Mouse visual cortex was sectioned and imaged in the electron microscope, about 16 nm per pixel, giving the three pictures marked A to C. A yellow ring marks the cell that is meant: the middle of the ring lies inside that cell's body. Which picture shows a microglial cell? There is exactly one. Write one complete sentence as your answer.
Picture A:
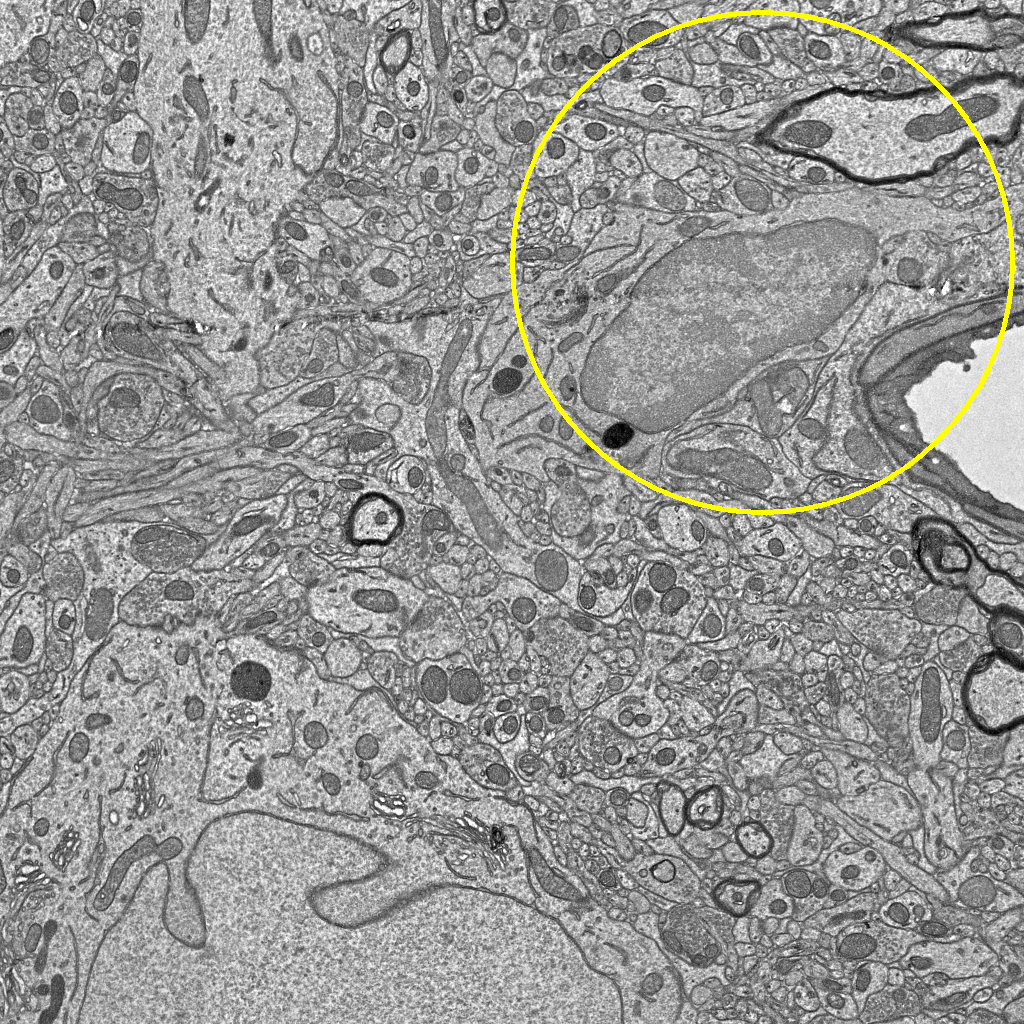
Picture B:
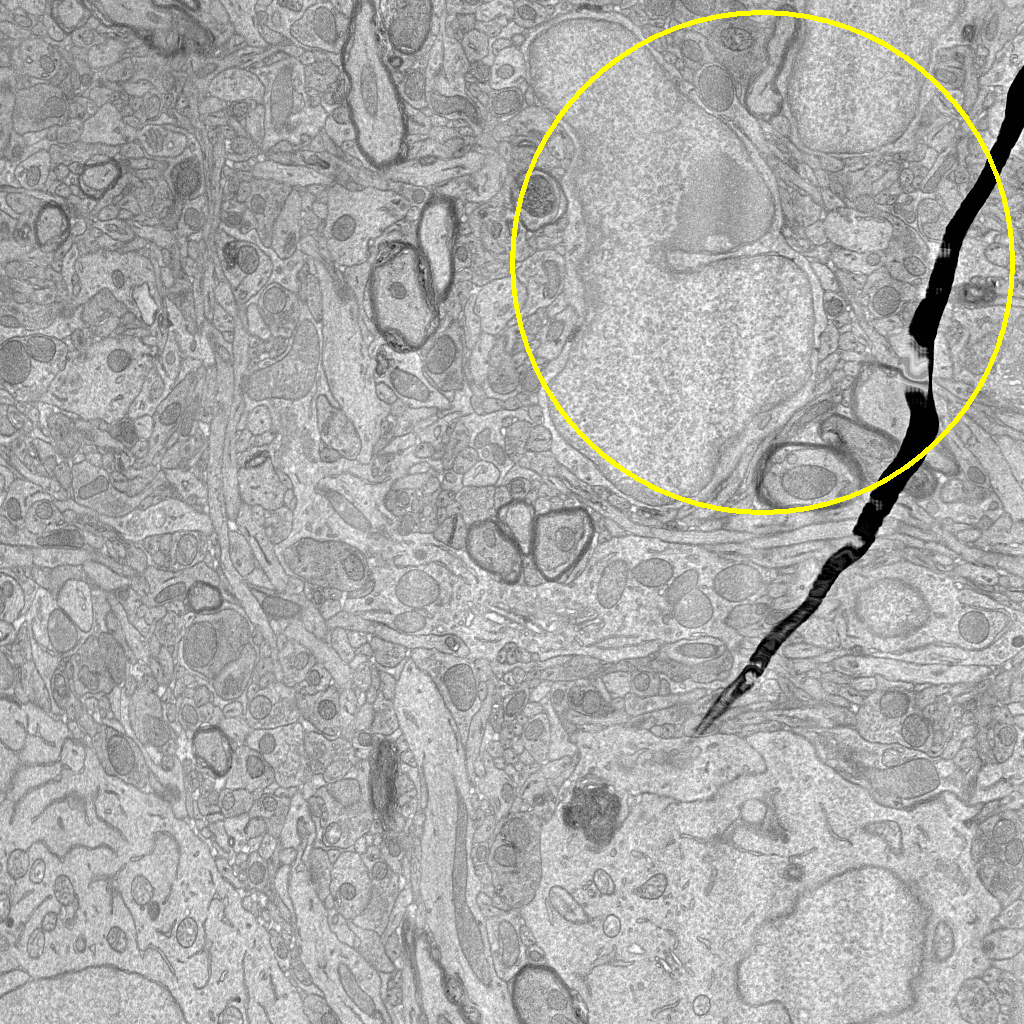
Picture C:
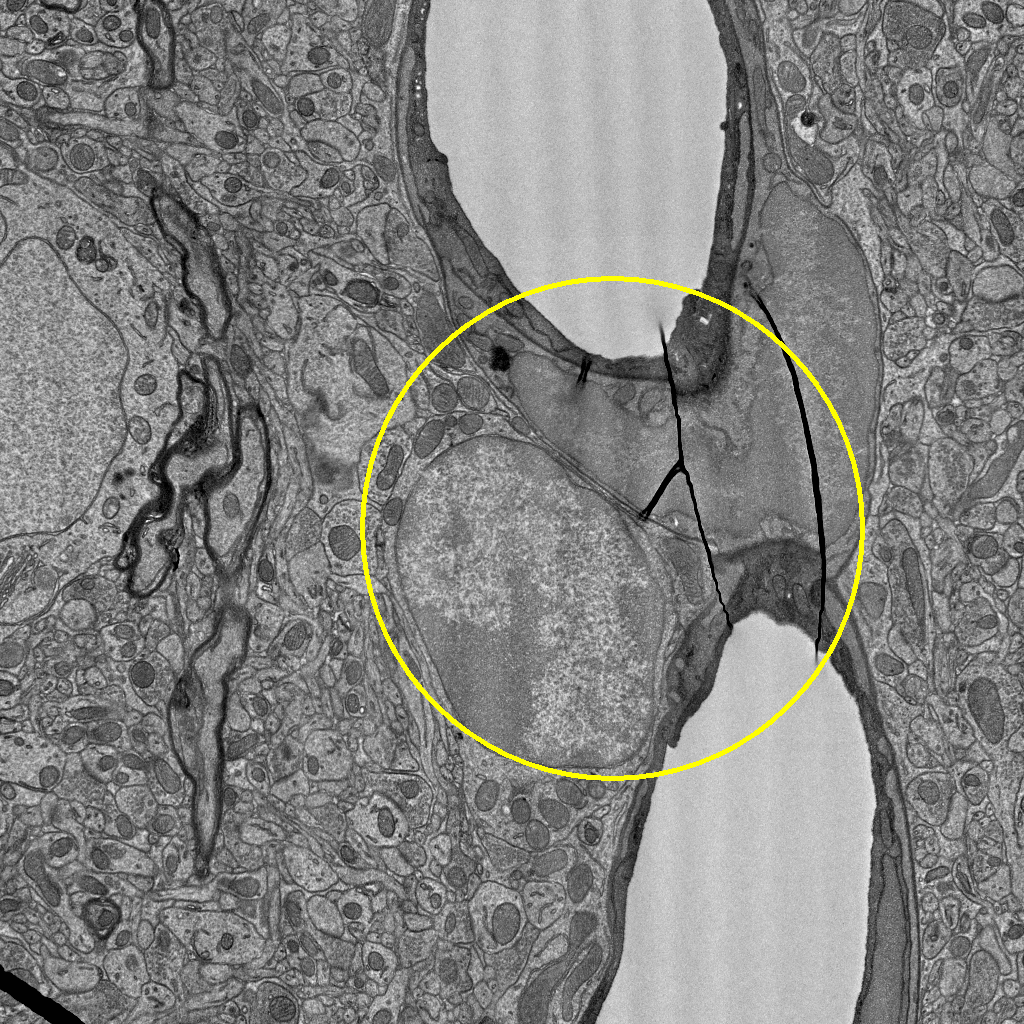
It is picture A that shows the microglial cell.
